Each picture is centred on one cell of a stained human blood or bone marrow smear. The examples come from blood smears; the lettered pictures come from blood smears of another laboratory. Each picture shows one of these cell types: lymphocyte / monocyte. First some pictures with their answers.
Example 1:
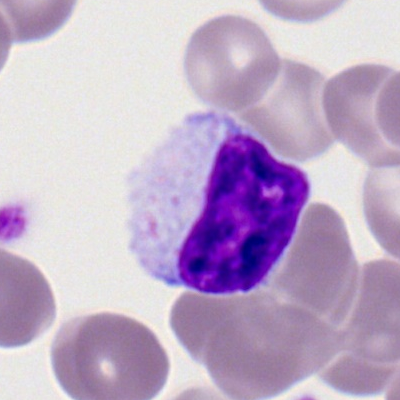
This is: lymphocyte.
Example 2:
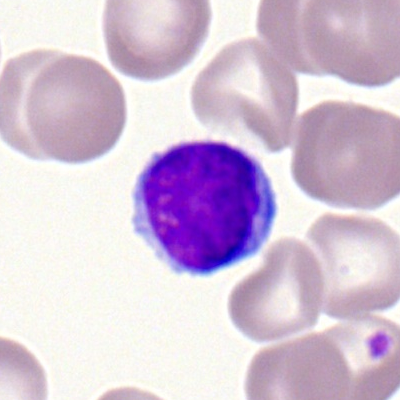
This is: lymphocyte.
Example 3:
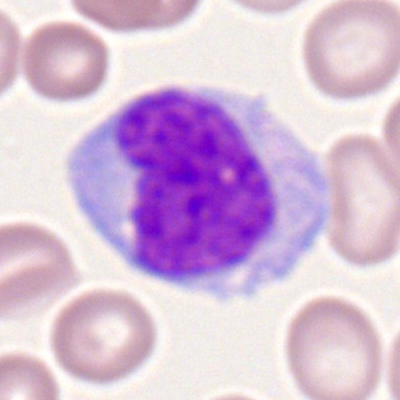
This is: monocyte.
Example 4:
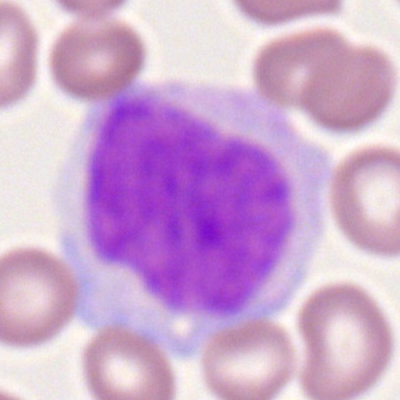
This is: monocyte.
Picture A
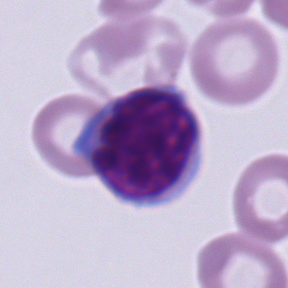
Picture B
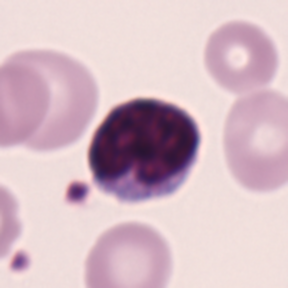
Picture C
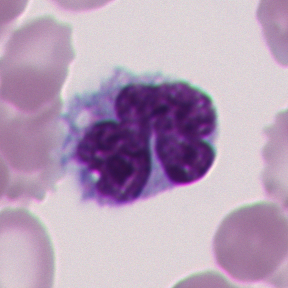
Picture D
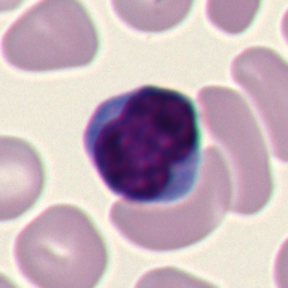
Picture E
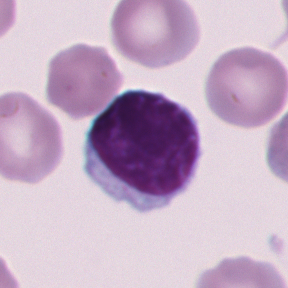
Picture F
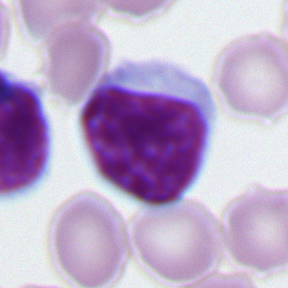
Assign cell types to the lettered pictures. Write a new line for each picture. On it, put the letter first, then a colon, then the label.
A: lymphocyte.
B: lymphocyte.
C: monocyte.
D: lymphocyte.
E: lymphocyte.
F: lymphocyte.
